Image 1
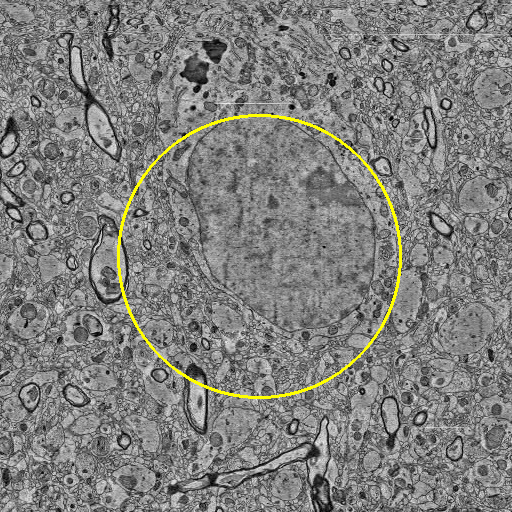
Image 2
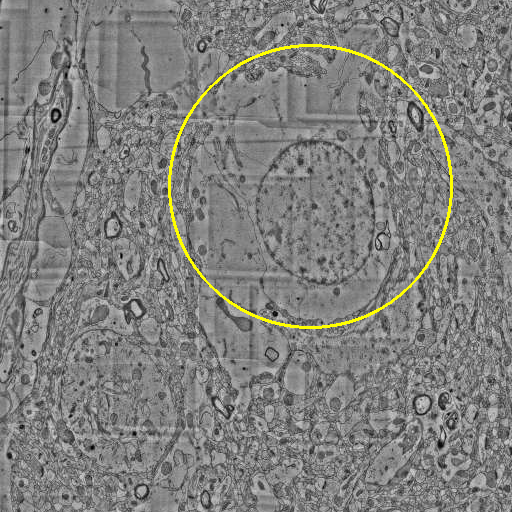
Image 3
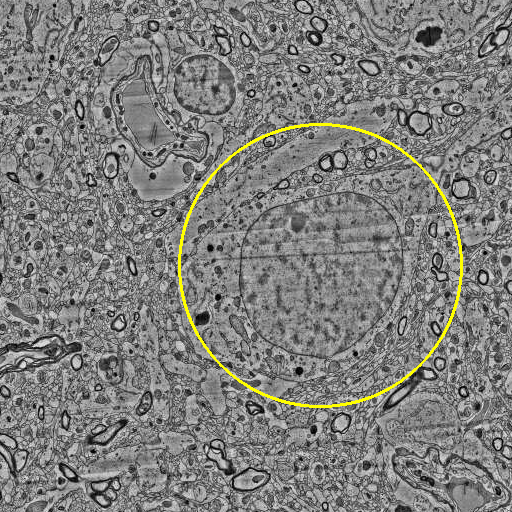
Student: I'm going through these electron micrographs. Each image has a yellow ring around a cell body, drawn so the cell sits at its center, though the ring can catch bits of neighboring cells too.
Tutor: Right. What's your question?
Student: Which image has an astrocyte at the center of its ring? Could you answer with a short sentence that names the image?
Image 2 shows it at the center of its ring.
